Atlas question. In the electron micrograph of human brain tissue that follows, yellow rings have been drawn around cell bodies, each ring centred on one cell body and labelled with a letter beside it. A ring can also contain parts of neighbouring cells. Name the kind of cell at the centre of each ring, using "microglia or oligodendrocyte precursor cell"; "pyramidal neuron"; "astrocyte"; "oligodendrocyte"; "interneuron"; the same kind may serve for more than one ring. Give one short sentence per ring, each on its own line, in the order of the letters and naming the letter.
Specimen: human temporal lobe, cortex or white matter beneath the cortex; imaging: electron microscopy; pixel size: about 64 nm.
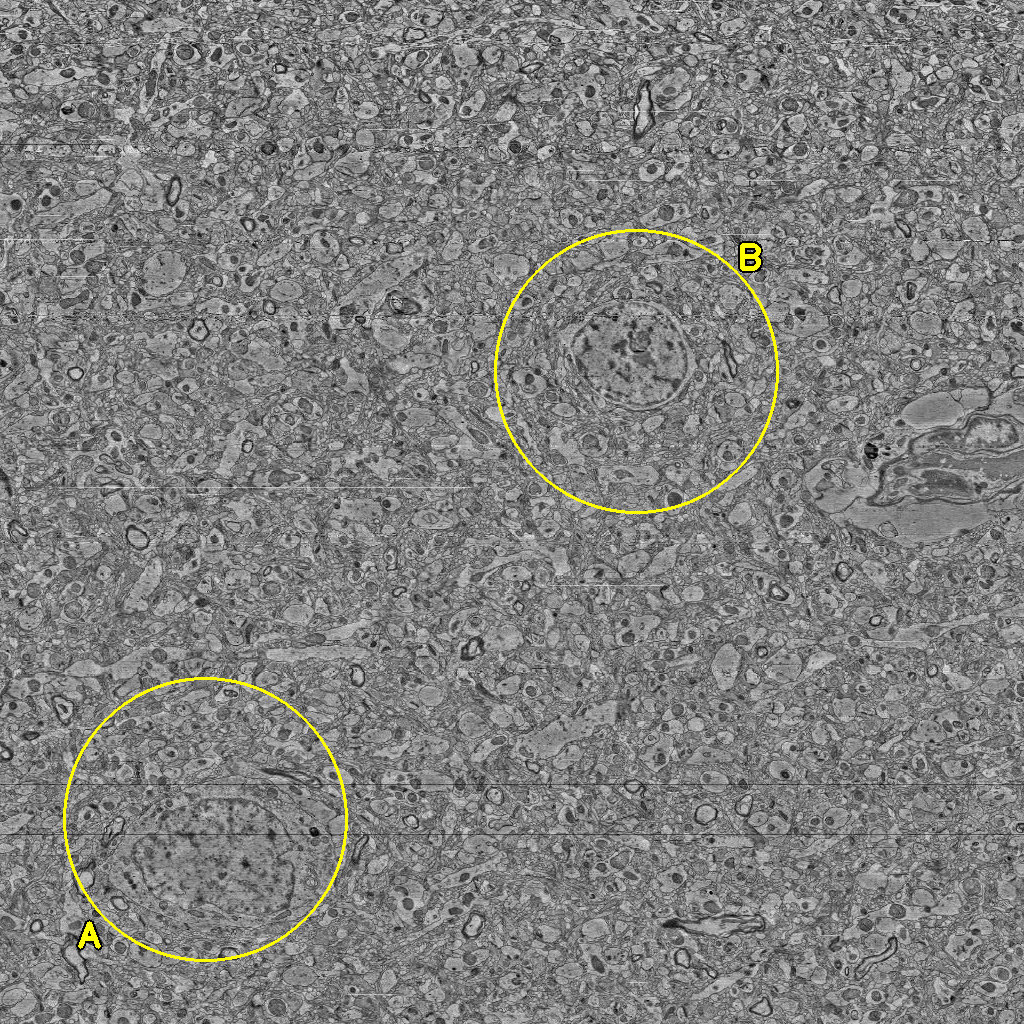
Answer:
For ring A, the cell at the centre is an interneuron.
For ring B, the cell at the centre is a microglial cell or oligodendrocyte precursor cell.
